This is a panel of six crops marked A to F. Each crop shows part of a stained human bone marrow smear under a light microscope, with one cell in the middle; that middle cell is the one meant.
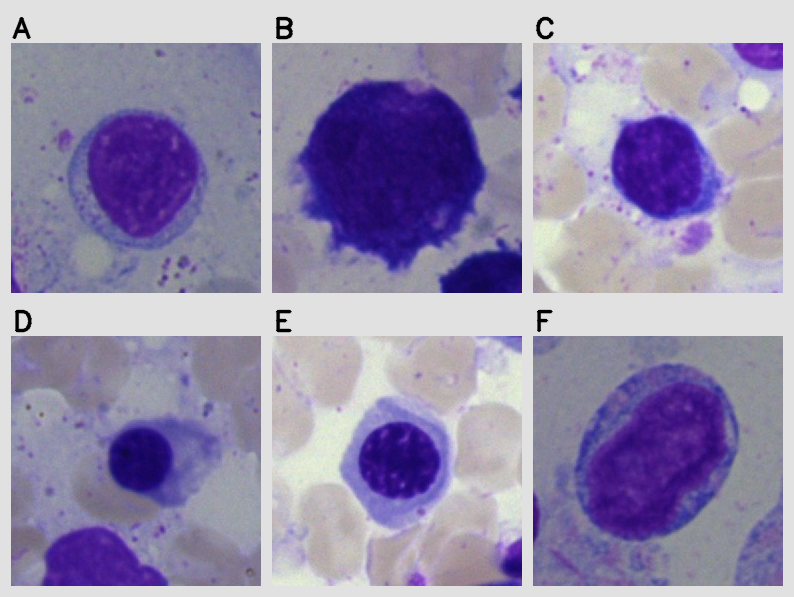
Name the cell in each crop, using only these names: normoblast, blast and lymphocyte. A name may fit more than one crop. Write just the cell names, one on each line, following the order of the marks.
lymphocyte
blast
lymphocyte
normoblast
normoblast
blast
